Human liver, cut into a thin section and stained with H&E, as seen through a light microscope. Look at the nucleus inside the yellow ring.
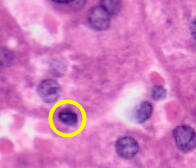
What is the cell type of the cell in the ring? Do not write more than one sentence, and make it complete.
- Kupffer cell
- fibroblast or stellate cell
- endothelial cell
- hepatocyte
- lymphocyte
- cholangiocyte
Cytologically, the cell in the ring is to be regarded as a fibroblast or stellate cell.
